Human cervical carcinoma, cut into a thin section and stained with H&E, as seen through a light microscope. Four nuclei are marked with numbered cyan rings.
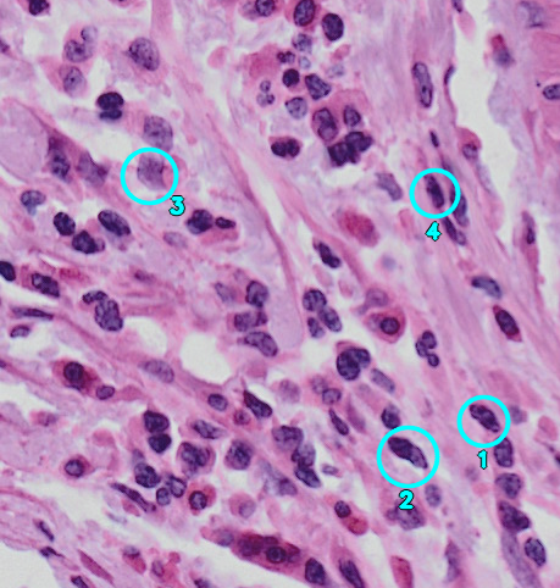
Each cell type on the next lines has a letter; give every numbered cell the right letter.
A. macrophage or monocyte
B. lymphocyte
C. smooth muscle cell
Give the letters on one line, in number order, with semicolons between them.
B; B; A; B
